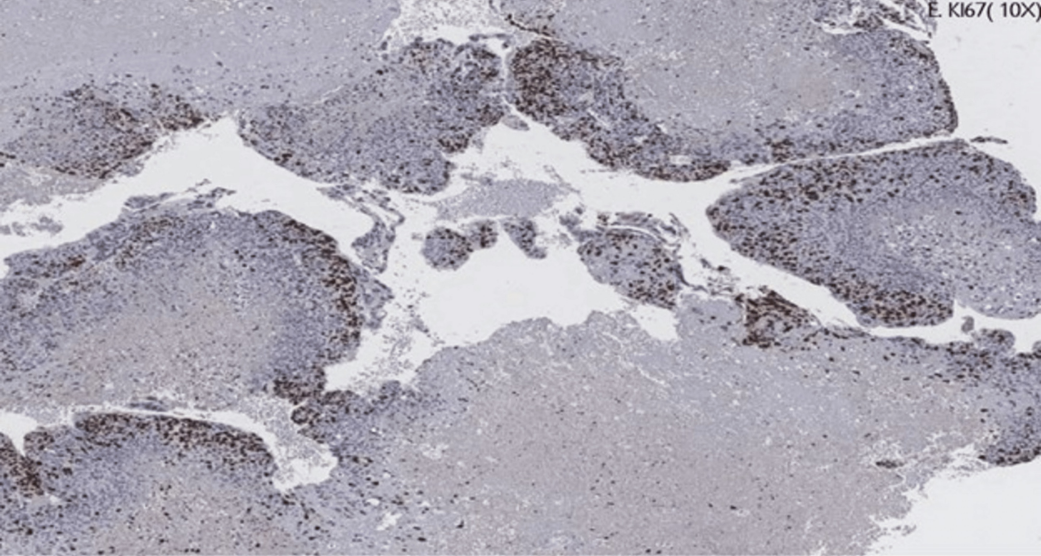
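This low-power view shows several rounded nests of tumor cells separated by clefts and loose, pale material. Brown-stained nuclei are scattered among the cells, clustered mainly at the edges of the nests. Most nuclei in the centres of the nests are blue and unstained. Between the nests lie pale areas with sparse cells.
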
